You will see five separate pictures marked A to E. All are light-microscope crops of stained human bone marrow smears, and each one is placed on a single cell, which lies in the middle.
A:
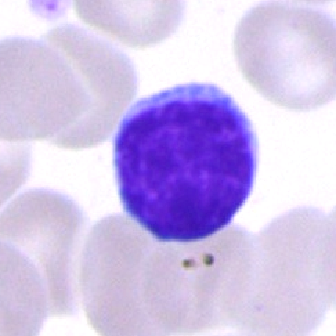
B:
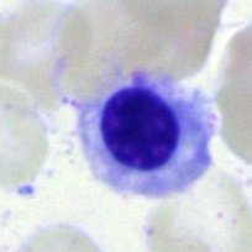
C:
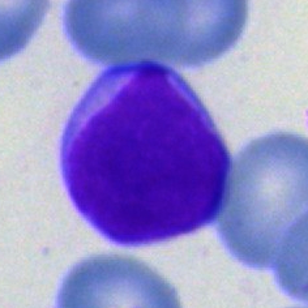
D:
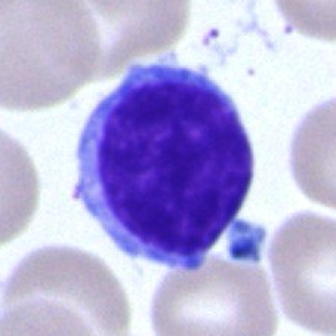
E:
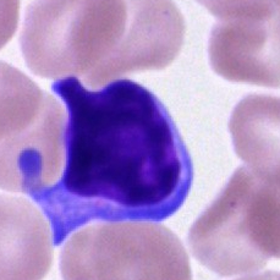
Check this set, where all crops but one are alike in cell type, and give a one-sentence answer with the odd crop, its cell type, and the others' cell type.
Crop B differs from the others in showing an erythroblast; the rest all show lymphocytes.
